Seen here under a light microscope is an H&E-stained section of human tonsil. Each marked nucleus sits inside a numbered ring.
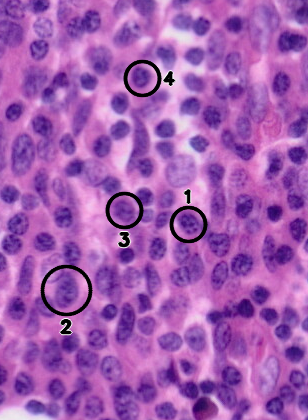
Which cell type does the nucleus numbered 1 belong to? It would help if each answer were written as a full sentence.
Cell number 1 in this section is a plasma cell.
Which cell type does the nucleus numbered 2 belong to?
The cell bearing label 2 corresponds to a squamous epithelial cell.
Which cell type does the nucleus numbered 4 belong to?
Looking at the numbered marks, cell 4 is a plasma cell.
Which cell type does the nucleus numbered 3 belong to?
The cell tagged with 3 in this tissue section is a plasma cell.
